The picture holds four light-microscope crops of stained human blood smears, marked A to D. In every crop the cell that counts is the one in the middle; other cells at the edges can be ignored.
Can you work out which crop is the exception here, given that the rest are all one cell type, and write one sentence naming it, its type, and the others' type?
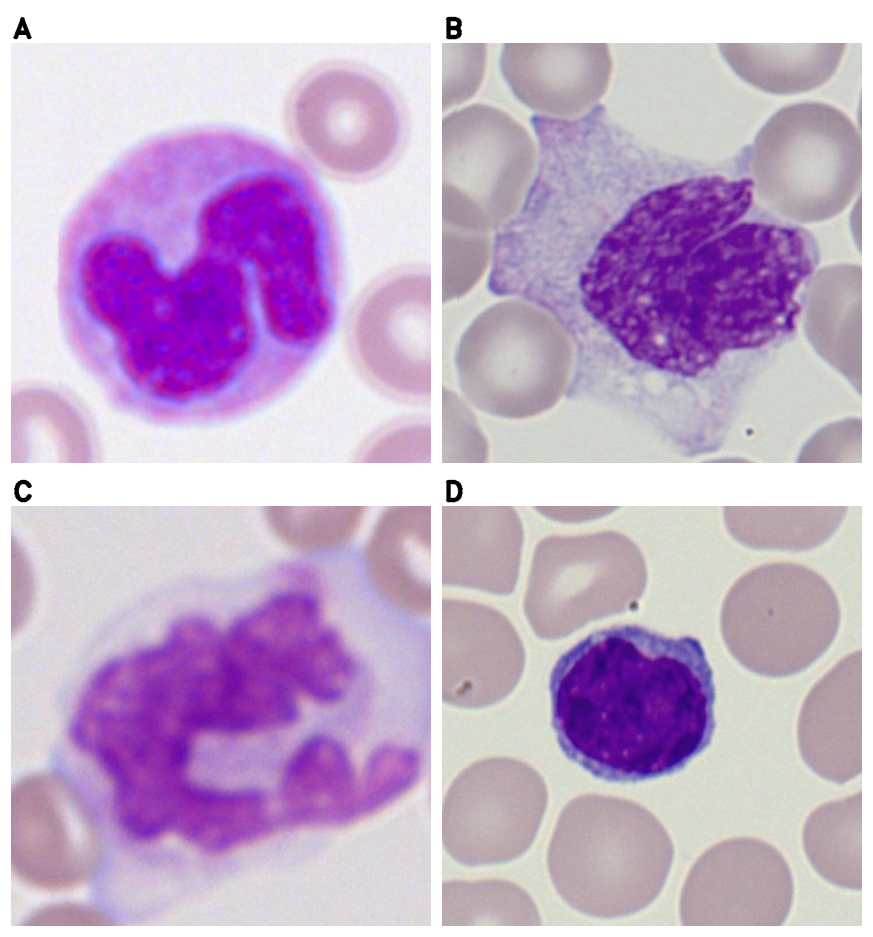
Crop D shows a lymphocyte; by contrast, all the other crops show monocytes.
